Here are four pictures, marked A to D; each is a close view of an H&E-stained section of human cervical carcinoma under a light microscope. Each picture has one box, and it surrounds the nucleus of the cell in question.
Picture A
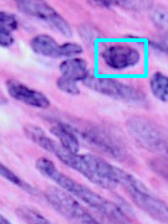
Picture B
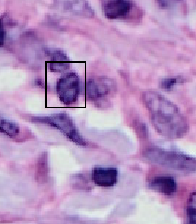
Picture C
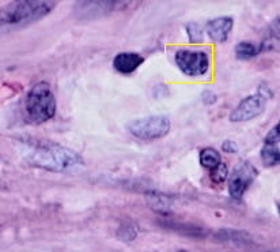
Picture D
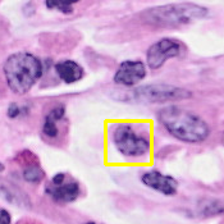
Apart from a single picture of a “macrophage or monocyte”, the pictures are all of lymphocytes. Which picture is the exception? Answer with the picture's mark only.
D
